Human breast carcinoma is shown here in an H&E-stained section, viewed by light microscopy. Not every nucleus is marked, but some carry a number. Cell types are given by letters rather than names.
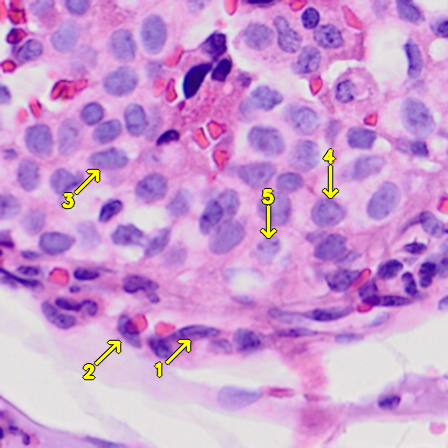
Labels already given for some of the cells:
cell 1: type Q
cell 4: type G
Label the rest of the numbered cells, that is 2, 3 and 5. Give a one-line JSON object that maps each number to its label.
{"2": "type Q", "3": "type G", "5": "type G"}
